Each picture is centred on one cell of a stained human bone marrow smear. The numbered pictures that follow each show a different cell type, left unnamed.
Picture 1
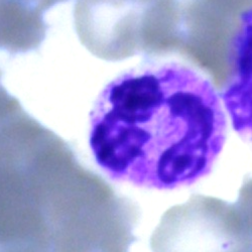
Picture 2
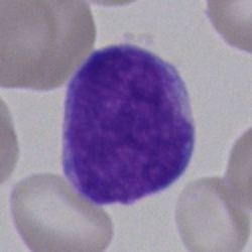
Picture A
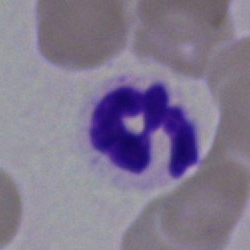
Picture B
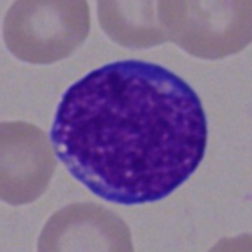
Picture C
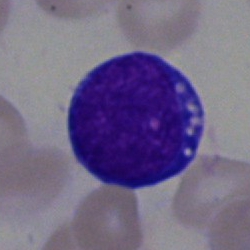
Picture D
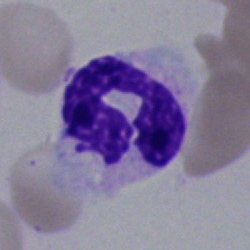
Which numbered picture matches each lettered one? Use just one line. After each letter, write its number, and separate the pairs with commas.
A 1, B 2, C 2, D 1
